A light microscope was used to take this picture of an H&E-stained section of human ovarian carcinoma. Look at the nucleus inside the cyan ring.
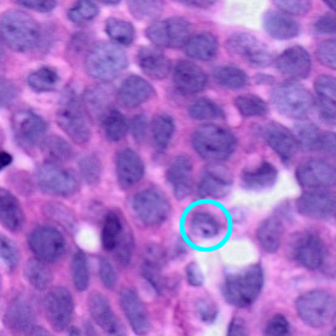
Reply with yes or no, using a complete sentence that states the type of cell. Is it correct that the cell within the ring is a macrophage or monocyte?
Yes, it is a macrophage or monocyte that the cell within the ring represents in this section.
